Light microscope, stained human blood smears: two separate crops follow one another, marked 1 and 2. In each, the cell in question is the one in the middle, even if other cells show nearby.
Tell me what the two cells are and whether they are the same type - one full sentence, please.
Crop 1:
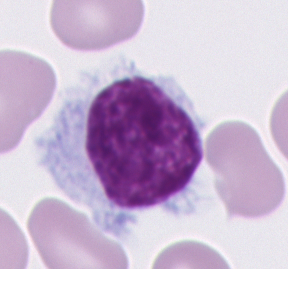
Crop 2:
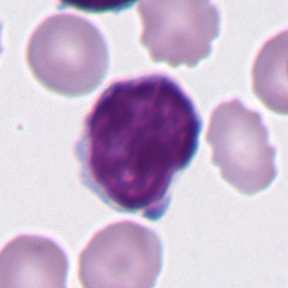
No, crop 1 and crop 2 contain, respectively, a hairy cell and a typical lymphocyte.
